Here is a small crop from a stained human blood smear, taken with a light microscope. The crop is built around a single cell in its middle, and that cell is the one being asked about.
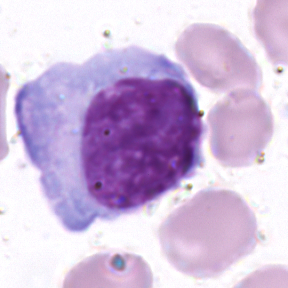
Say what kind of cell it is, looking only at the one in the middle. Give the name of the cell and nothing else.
plasma cell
